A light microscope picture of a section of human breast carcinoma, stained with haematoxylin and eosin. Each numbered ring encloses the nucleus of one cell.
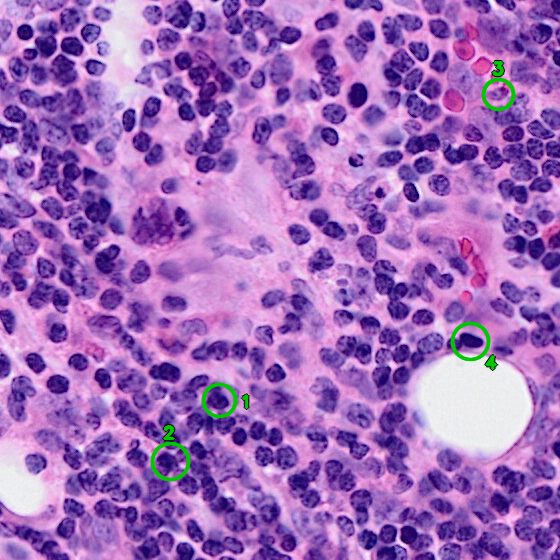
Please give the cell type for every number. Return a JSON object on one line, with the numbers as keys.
{"1": "lymphocyte", "2": "lymphocyte", "3": "endothelial cell", "4": "lymphocyte"}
